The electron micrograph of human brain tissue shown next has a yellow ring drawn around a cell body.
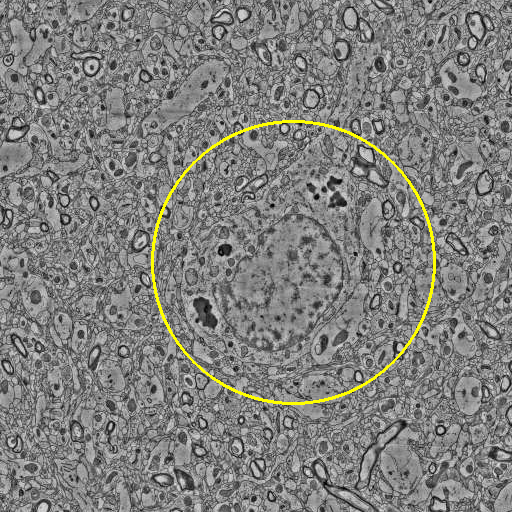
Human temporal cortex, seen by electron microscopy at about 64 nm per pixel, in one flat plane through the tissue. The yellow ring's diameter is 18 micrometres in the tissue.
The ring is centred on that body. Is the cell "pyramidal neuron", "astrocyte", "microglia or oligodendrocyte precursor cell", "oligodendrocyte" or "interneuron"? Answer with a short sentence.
The cell in question is an interneuron.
